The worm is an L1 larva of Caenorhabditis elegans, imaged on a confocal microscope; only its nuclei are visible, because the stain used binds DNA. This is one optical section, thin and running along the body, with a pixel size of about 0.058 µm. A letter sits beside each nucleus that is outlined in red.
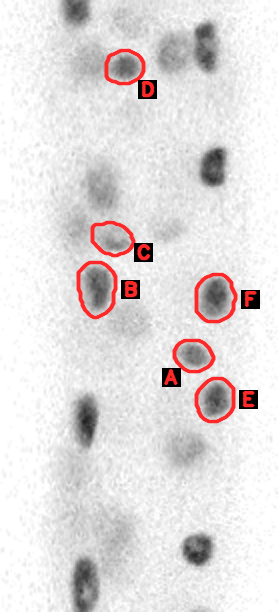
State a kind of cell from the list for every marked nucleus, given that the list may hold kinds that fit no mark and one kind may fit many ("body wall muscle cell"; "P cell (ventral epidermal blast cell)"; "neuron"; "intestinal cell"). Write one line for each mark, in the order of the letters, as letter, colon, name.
A: neuron
B: body wall muscle cell
C: P cell (ventral epidermal blast cell)
D: neuron
E: body wall muscle cell
F: body wall muscle cell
